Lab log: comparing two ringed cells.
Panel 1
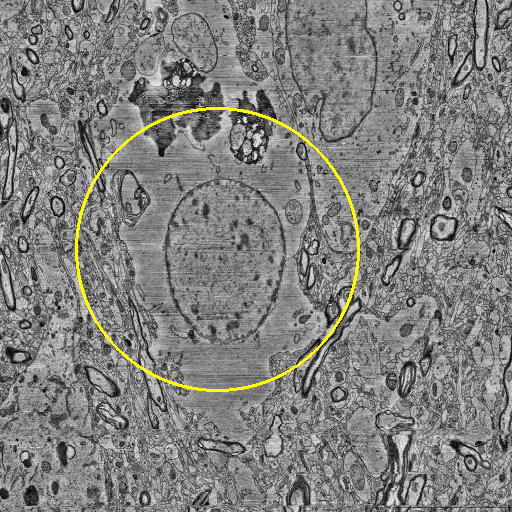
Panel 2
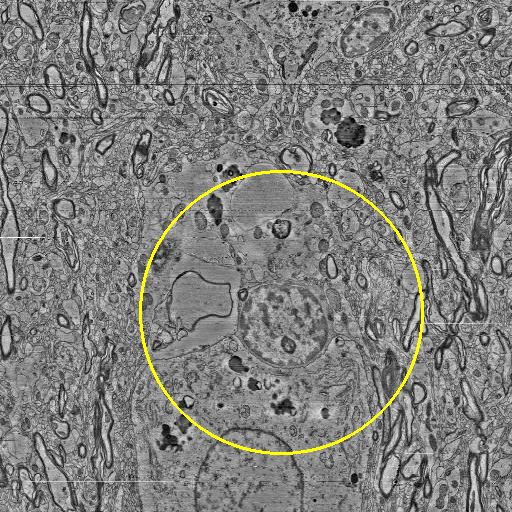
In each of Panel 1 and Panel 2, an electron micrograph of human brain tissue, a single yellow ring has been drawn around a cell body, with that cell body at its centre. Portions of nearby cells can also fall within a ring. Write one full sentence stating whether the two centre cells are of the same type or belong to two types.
The cells at the ring centres in Panel 1 and Panel 2 belong to two types.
